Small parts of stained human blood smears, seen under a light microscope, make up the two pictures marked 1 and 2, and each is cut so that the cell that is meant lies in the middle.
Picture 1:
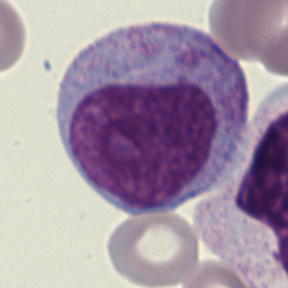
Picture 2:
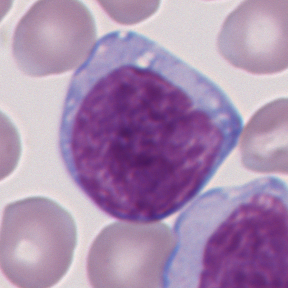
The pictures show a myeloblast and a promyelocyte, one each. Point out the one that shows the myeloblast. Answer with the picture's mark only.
2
